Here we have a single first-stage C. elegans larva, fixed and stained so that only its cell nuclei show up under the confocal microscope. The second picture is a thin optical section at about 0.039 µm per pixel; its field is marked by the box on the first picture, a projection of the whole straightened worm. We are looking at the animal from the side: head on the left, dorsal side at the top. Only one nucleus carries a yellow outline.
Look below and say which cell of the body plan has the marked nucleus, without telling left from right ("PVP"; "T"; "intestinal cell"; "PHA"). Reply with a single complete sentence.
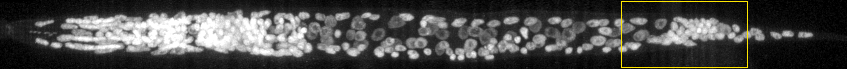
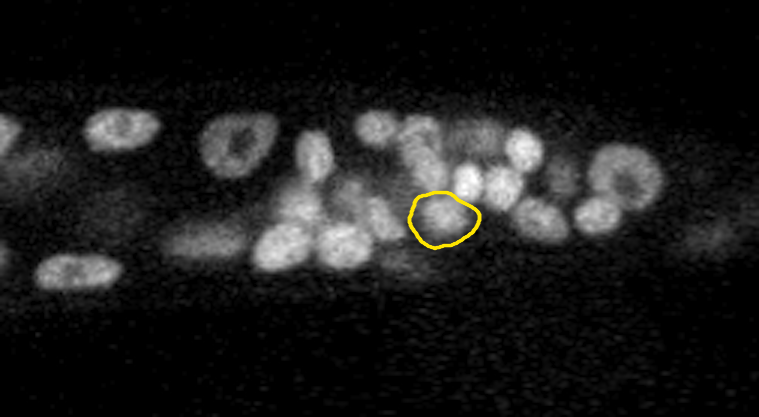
It is the nucleus of PHA, a neuron.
